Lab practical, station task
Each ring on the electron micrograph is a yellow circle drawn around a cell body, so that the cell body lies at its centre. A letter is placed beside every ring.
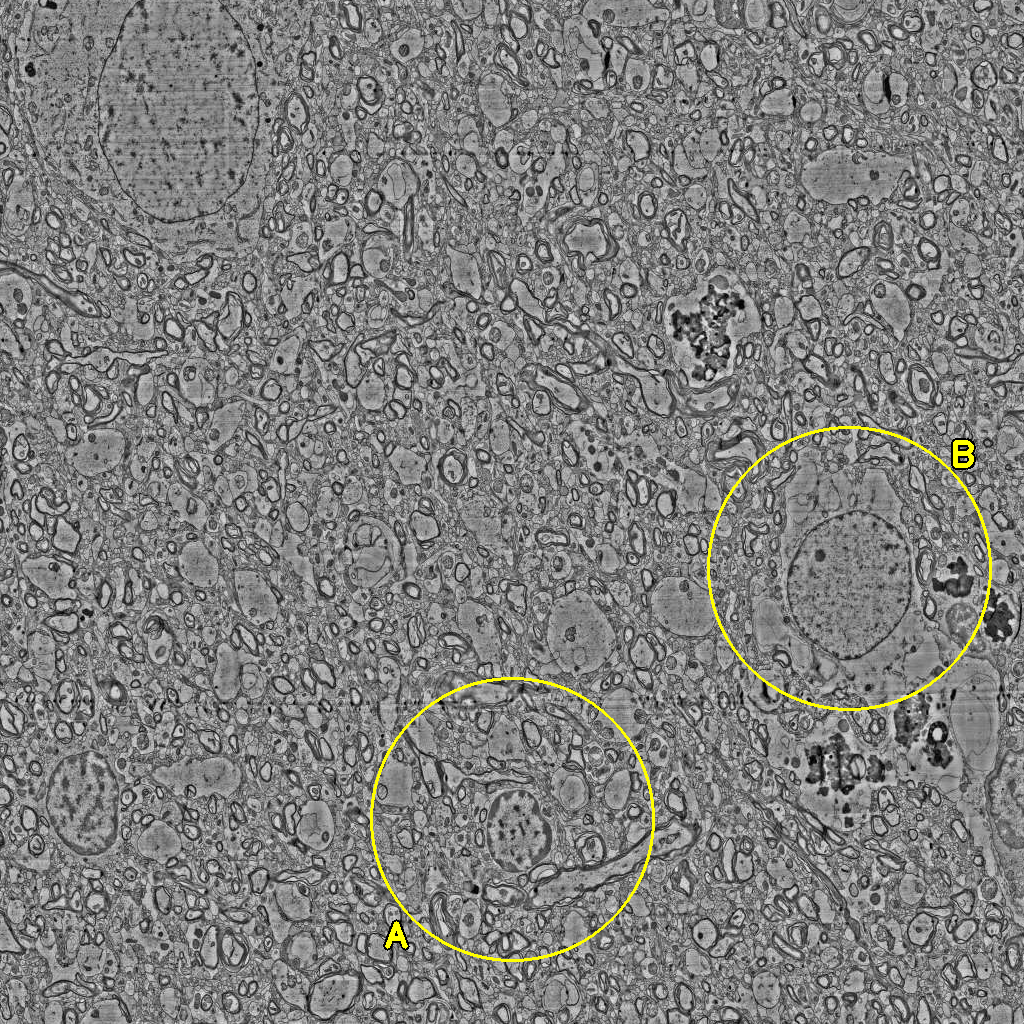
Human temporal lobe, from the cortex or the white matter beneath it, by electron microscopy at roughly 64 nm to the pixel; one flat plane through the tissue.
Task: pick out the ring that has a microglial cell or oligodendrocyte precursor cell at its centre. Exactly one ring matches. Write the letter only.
A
